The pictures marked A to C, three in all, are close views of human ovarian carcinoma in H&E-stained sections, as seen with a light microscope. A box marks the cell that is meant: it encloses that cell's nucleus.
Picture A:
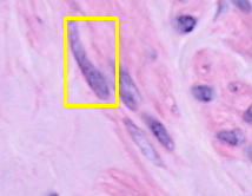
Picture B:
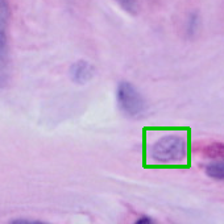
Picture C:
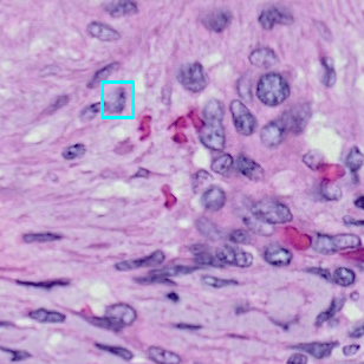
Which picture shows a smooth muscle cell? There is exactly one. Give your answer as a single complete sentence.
The picture with the smooth muscle cell is A.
